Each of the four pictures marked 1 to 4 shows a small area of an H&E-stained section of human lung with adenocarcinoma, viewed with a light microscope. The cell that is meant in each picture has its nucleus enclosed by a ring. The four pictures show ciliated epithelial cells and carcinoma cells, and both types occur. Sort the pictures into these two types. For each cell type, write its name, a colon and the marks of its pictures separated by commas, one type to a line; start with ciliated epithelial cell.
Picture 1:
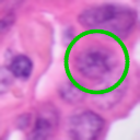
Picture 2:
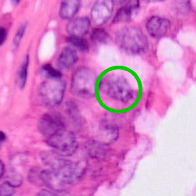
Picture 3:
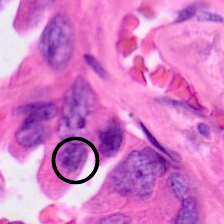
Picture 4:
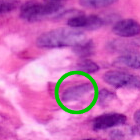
ciliated epithelial cell: 2, 4
carcinoma cell: 1, 3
